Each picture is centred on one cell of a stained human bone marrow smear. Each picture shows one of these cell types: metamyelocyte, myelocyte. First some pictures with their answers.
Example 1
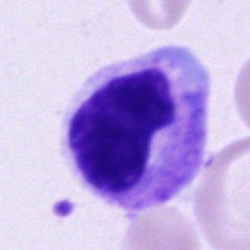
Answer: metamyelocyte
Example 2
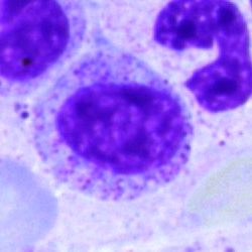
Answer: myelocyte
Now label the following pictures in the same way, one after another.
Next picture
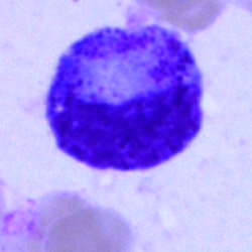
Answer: metamyelocyte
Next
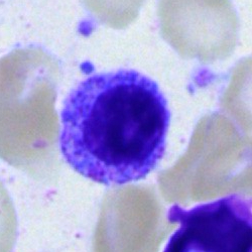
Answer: myelocyte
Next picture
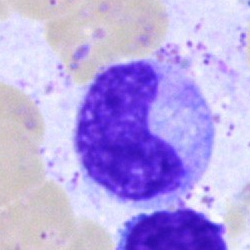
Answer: metamyelocyte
